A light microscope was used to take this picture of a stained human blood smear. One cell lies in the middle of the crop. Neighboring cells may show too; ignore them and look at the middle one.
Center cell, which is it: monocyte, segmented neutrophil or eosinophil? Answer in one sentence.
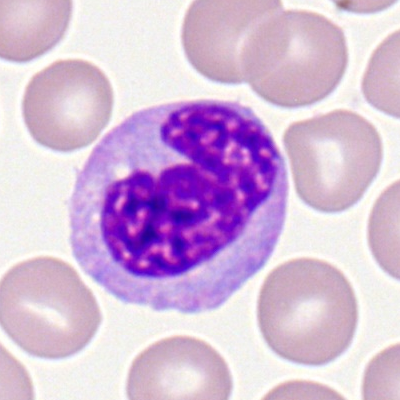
The middle position in this crop is taken by a monocyte.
